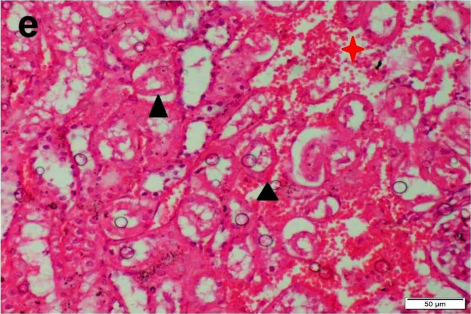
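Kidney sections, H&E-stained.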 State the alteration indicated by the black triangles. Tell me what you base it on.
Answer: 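Necrosis of epithelial lining renal tubules. Many tubular cells lack distinct nuclei.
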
